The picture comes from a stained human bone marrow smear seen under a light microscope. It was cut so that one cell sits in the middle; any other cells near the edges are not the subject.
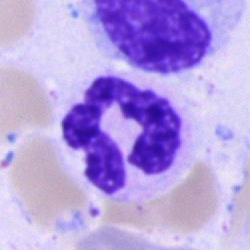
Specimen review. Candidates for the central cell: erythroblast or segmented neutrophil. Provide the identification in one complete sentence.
Where the crop is centred, there is a segmented neutrophil.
